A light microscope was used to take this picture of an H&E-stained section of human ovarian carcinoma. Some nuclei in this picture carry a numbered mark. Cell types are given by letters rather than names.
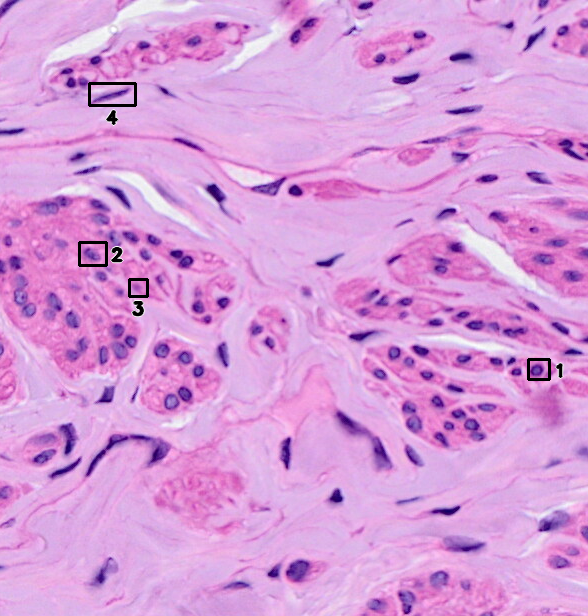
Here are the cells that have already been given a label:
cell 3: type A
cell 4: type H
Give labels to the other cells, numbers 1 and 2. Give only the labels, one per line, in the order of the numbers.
type A
type A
